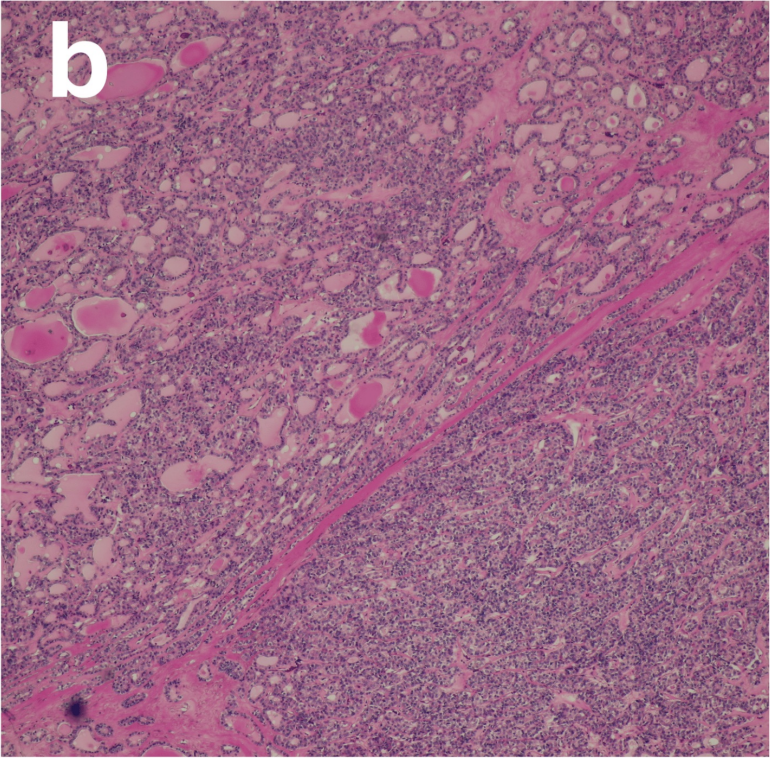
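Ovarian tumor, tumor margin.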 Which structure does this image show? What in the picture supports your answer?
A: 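Many round and elongated lumina lined by a single layer of cells. Several lumina contain pink homogeneous material. Round and tube-shaped spaces are scattered through the upper left part.
Hence: follicular or tubular structures.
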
